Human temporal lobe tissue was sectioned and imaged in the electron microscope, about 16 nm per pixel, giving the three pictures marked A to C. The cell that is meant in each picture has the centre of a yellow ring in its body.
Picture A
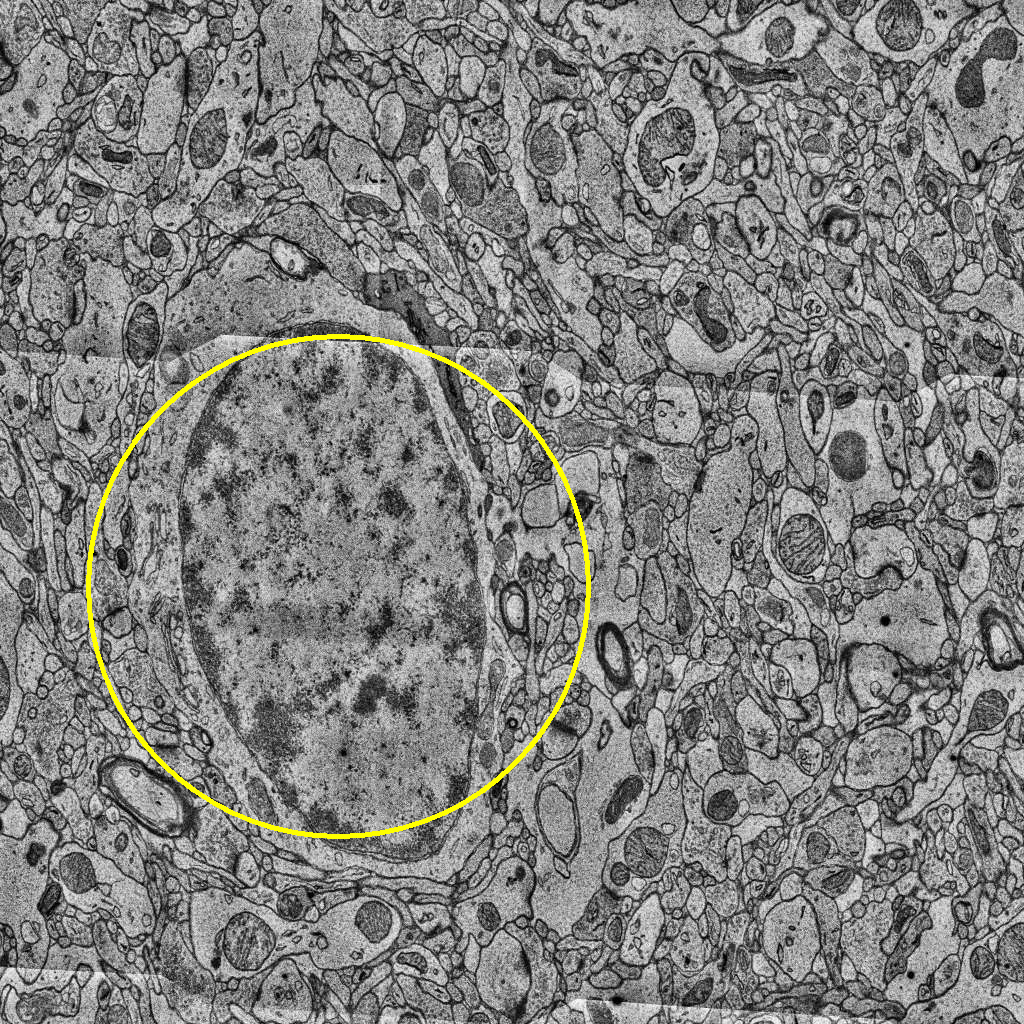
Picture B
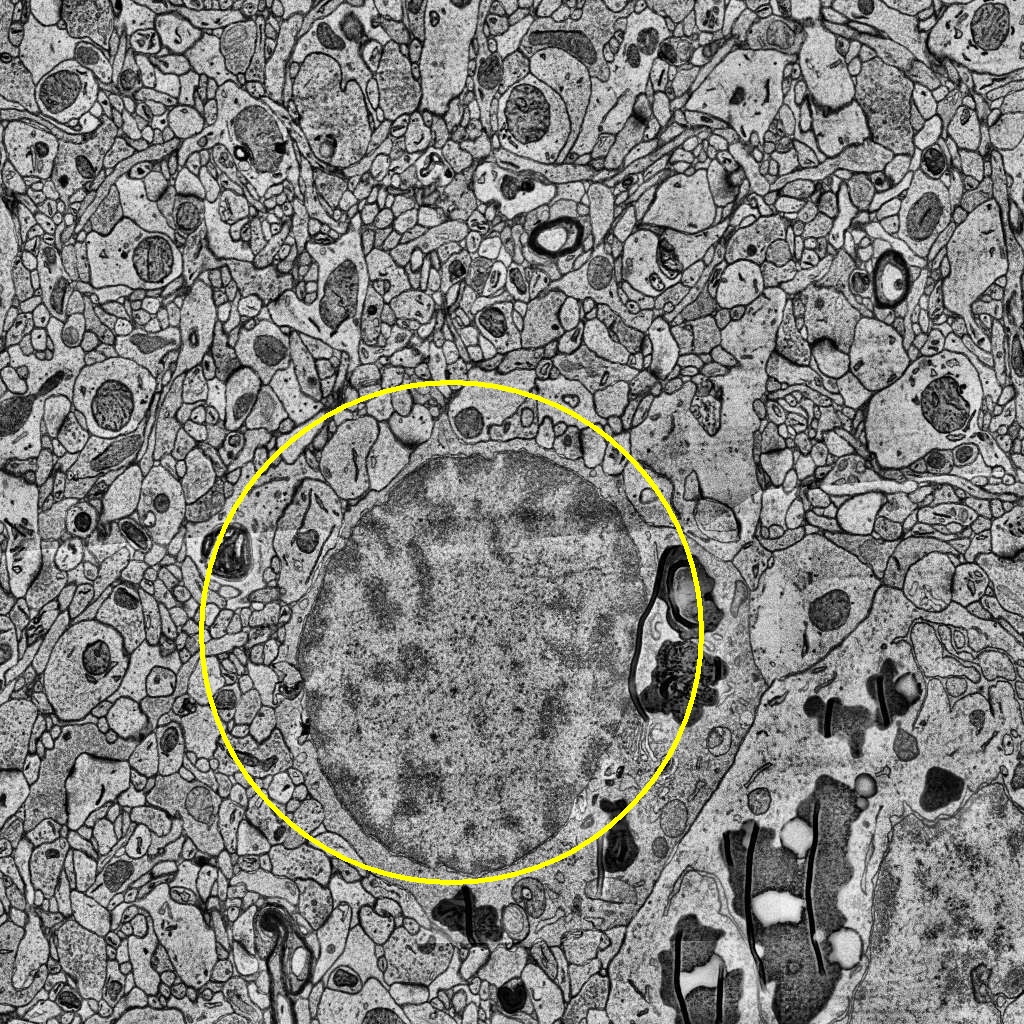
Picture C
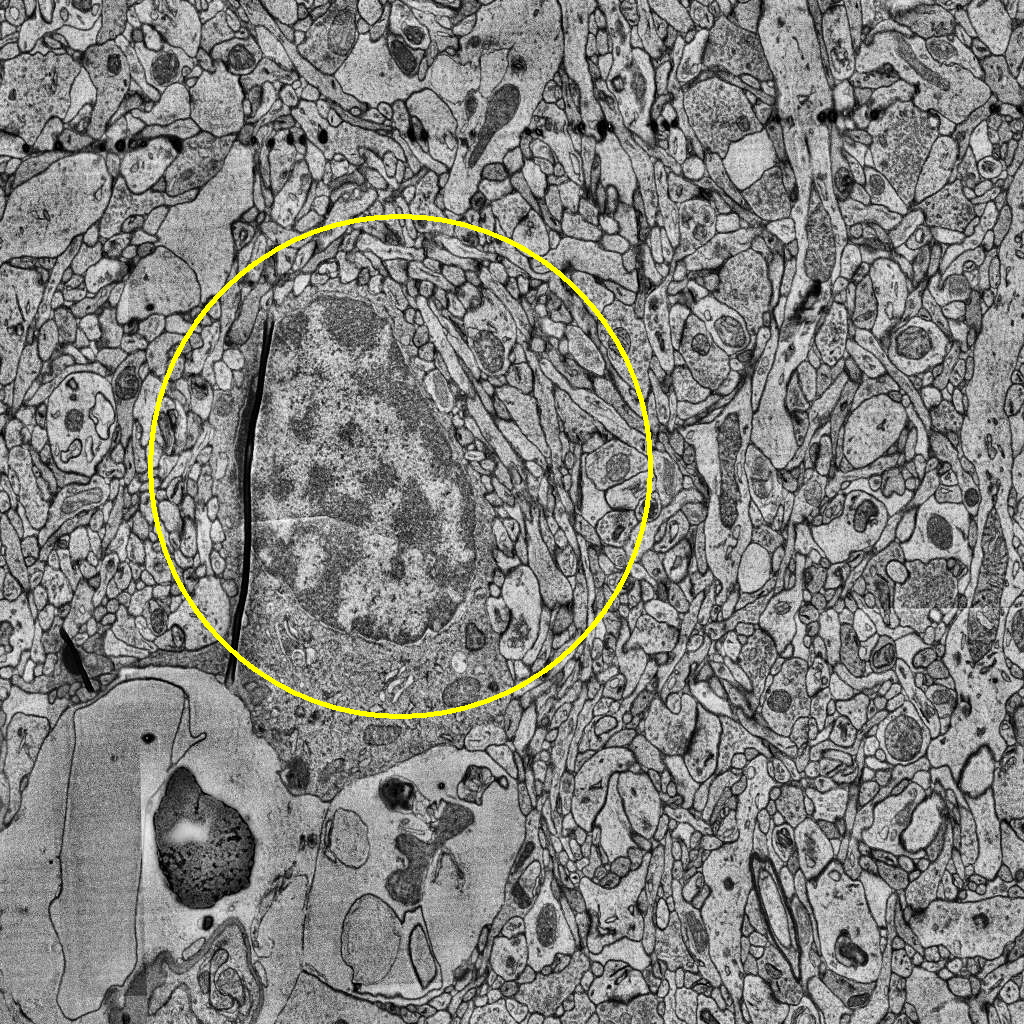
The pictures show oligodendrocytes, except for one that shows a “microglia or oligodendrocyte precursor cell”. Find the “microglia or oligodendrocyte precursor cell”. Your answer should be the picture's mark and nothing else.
A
